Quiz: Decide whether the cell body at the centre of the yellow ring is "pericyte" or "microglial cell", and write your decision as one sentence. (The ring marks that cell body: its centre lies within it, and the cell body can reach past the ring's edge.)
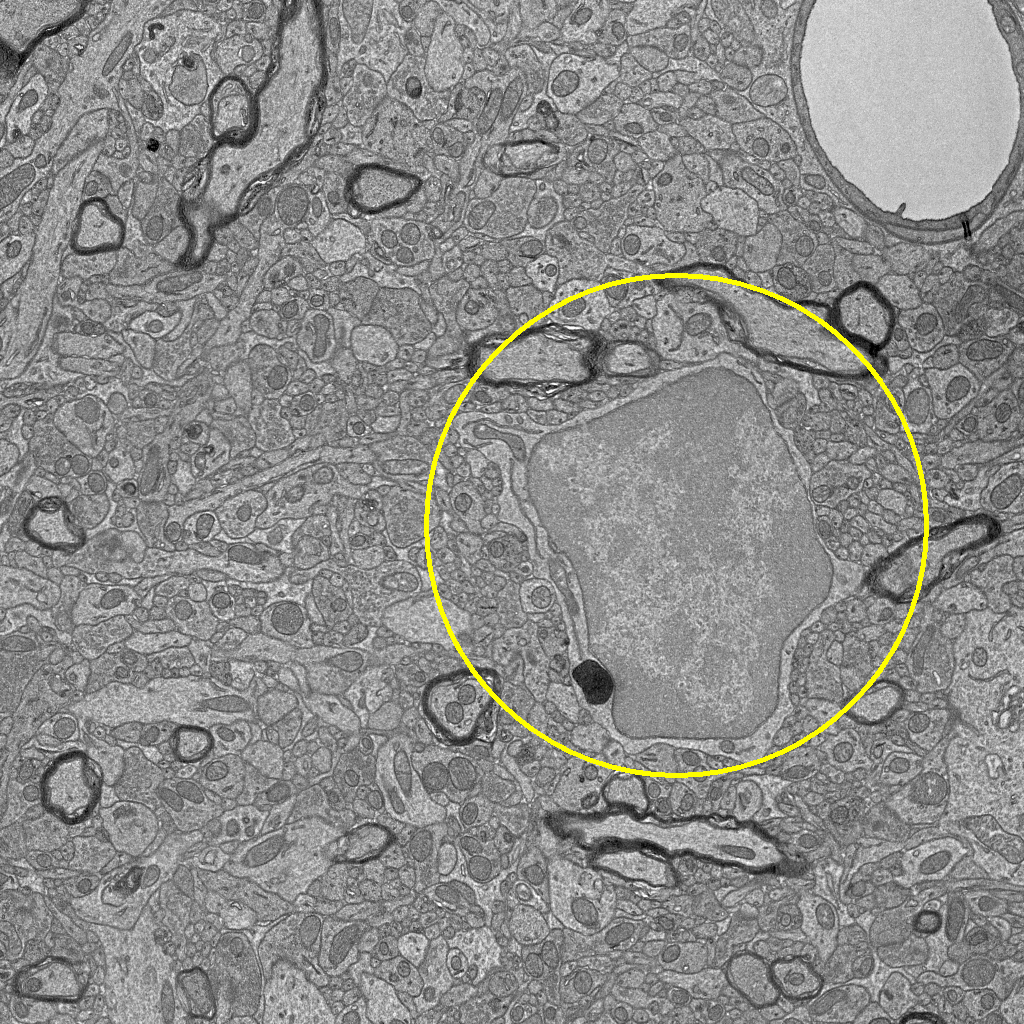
The cell holding the ring's centre is a microglial cell.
